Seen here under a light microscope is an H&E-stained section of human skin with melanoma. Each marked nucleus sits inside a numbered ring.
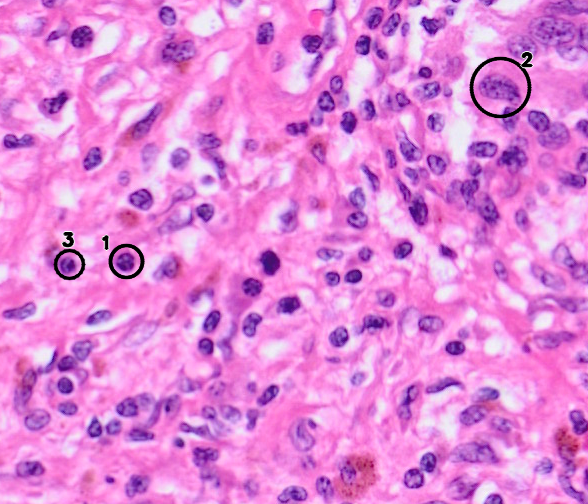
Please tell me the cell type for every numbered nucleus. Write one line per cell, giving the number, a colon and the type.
1: plasma cell
2: melanoma cell
3: plasma cell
